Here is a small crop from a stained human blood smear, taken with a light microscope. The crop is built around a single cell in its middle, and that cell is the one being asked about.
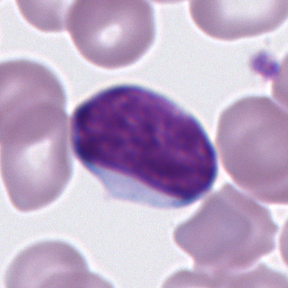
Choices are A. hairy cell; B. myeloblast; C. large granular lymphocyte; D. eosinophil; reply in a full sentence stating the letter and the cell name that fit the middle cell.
The cell in the centre of the crop is a myeloblast, so option B is the correct one.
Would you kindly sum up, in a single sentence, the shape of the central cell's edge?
Edge check done: smooth outline, no projections present.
